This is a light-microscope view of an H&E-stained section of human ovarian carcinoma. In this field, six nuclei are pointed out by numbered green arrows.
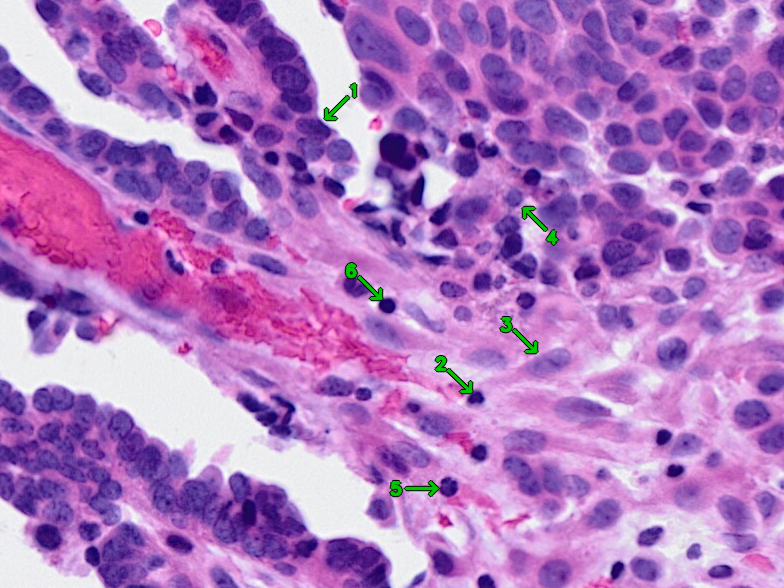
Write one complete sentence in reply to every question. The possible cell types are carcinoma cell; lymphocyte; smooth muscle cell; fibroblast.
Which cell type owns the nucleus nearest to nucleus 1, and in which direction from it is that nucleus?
A carcinoma cell lies closest, below nucleus 1.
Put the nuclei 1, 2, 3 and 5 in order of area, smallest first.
By area, going up from the smallest, they rank 2, 5, 1, 3.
